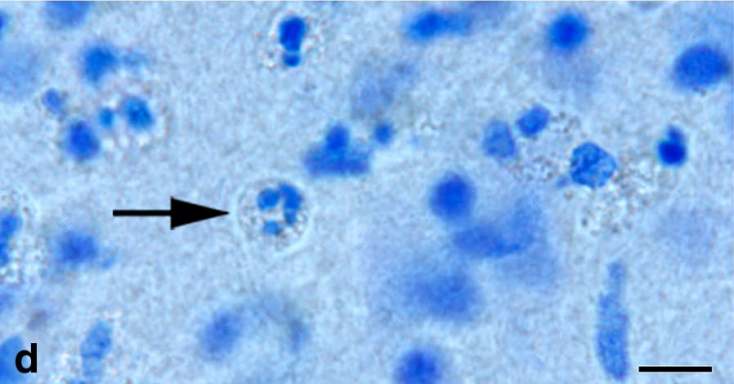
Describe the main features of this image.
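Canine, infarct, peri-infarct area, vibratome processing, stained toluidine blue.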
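At high magnification the brain tissue shows a pale, finely textured background scattered with dark blue nuclei of varying size and shape. The cell picked out by the arrow is small and round, lying in a clear space, with several small dark blue nuclear lobes and pale, finely granular cytoplasm. This lobed nucleus marks it as a neutrophil granulocyte that has entered the brain tissue. Other rounded cells nearby also have clumped or lobed nuclei within pale, granular cytoplasm.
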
